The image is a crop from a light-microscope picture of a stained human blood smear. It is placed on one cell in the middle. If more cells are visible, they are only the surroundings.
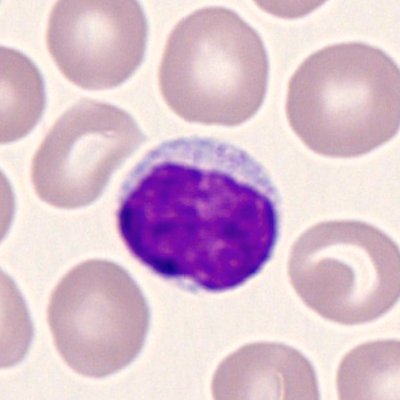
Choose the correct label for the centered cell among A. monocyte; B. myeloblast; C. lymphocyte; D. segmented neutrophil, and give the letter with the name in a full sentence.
The cell at the centre, correctly named in option C, is a lymphocyte.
